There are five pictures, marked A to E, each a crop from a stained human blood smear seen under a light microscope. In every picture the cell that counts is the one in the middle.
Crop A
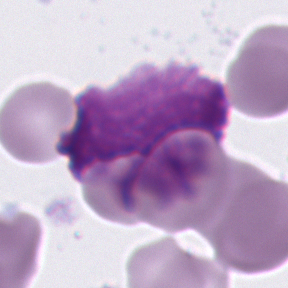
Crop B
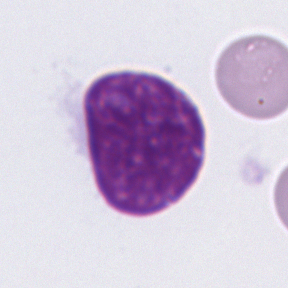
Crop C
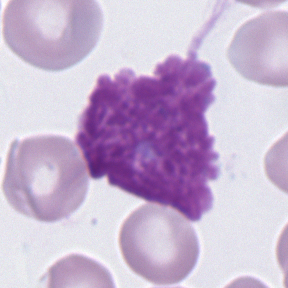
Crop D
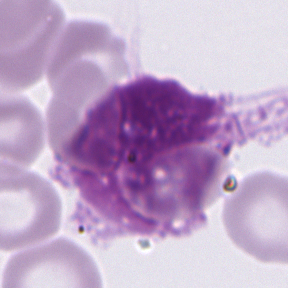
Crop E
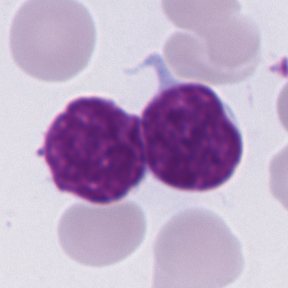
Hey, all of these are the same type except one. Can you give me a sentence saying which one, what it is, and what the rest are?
Every crop but one shows smudge cells; the exception, crop E, shows a myeloblast.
